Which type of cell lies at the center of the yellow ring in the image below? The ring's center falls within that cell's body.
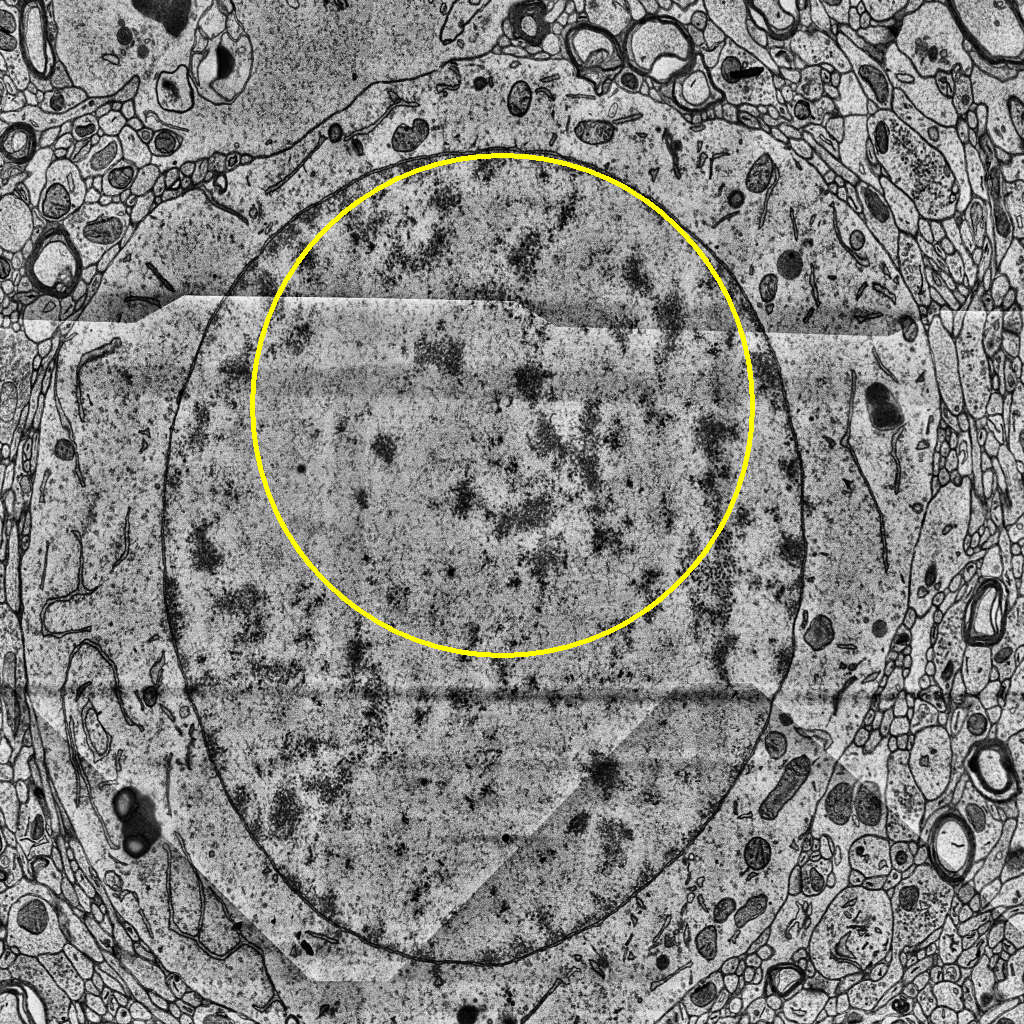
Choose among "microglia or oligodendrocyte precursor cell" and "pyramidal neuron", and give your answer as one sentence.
The cell body at the center belongs to a pyramidal neuron.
